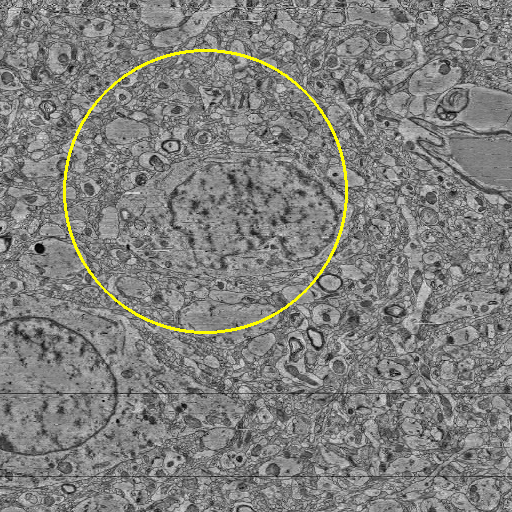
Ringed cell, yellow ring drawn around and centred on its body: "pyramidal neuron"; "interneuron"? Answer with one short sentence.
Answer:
This ringed cell is an interneuron.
